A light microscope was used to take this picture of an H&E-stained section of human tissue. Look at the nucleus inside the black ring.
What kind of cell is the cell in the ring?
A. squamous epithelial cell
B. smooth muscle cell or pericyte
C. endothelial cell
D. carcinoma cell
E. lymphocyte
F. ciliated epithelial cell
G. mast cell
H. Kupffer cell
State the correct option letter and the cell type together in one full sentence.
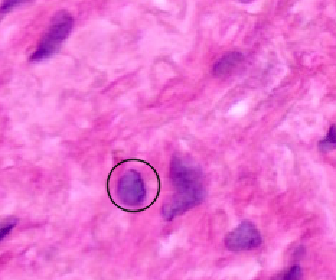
Option B, identifying the cell in the ring as a smooth muscle cell or pericyte, is correct.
